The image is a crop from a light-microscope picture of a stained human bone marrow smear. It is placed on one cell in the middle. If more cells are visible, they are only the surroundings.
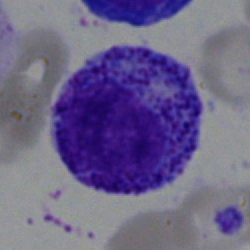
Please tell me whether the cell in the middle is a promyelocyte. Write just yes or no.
yes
